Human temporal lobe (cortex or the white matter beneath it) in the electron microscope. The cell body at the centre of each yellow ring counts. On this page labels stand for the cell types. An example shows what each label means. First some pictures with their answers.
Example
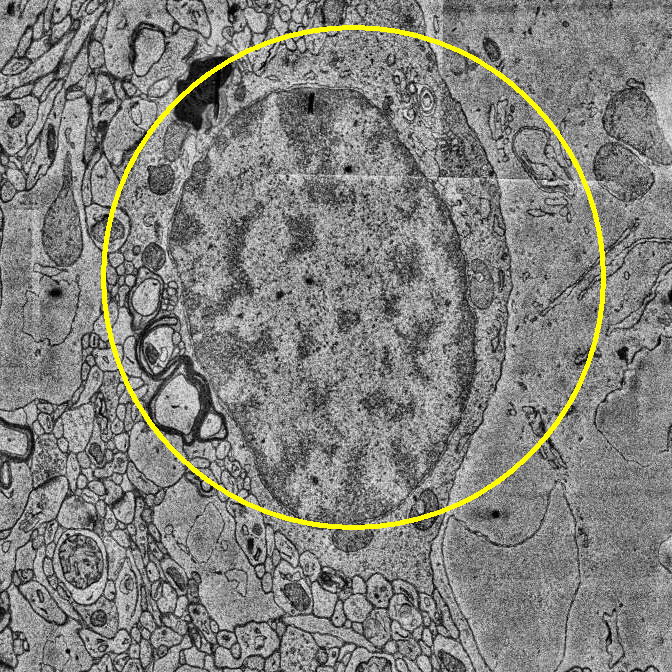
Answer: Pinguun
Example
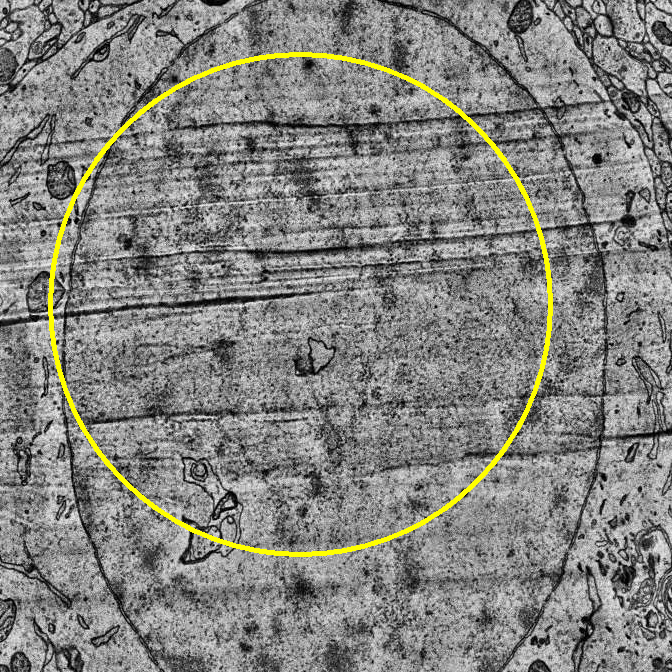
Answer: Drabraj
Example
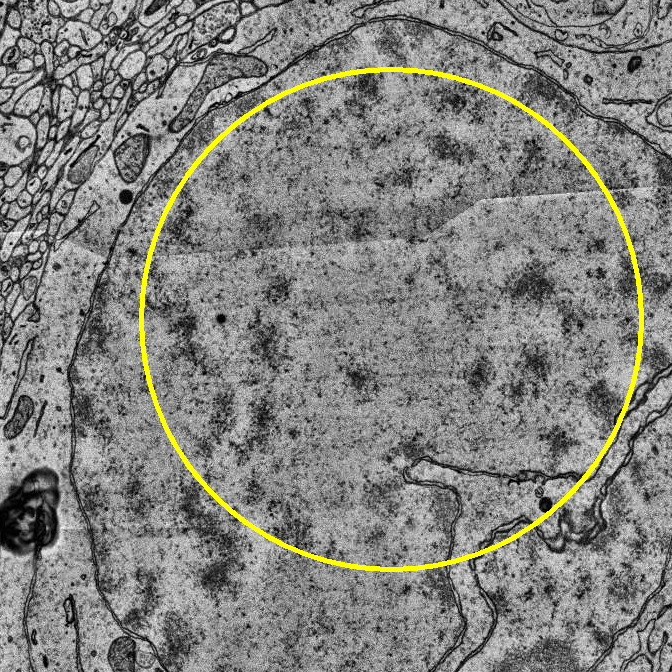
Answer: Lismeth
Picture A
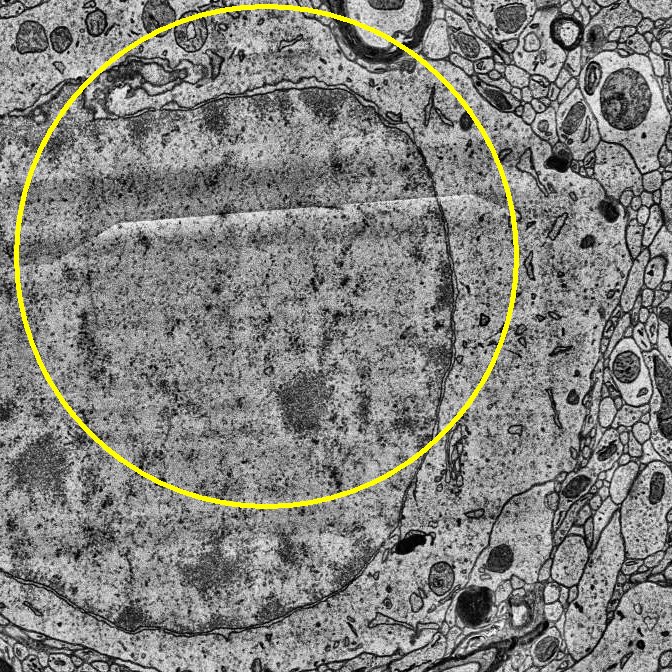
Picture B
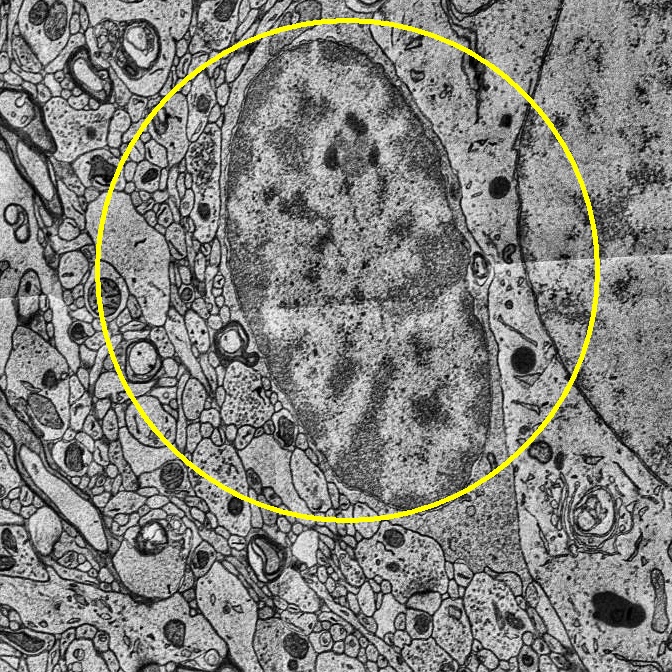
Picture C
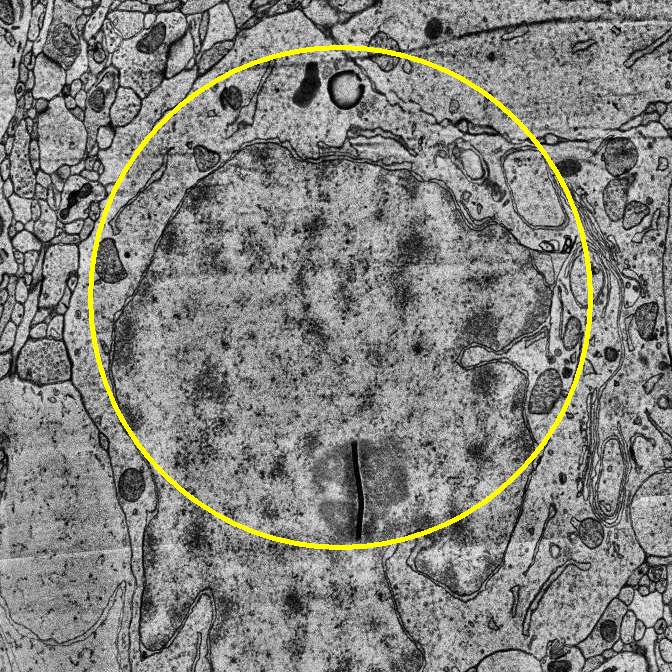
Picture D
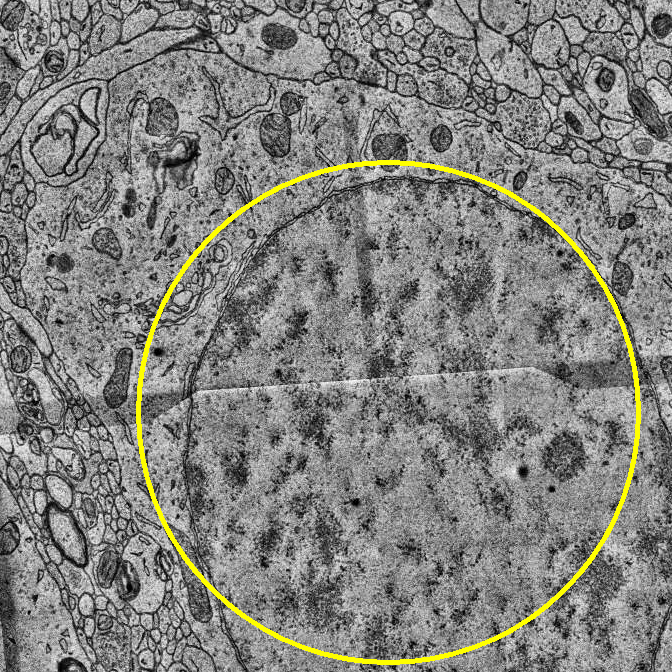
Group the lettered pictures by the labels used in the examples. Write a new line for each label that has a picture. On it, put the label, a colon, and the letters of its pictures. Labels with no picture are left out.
Pinguun: B
Lismeth: A, C, D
